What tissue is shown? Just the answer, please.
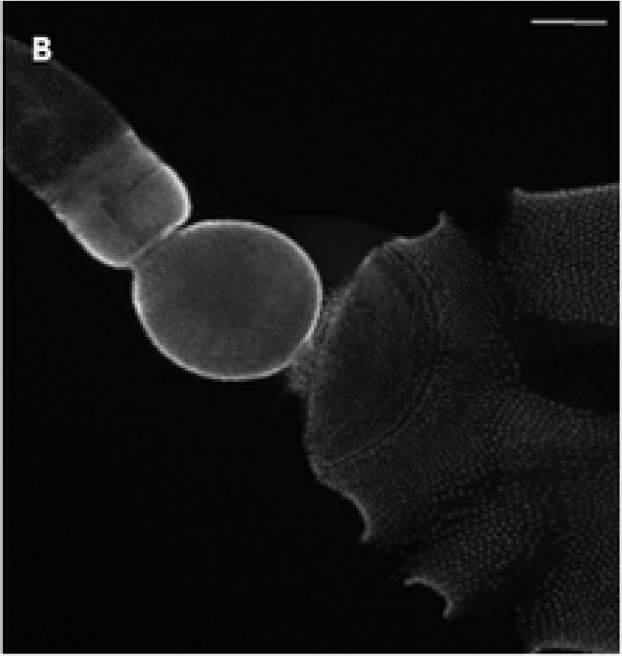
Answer: ovarioles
